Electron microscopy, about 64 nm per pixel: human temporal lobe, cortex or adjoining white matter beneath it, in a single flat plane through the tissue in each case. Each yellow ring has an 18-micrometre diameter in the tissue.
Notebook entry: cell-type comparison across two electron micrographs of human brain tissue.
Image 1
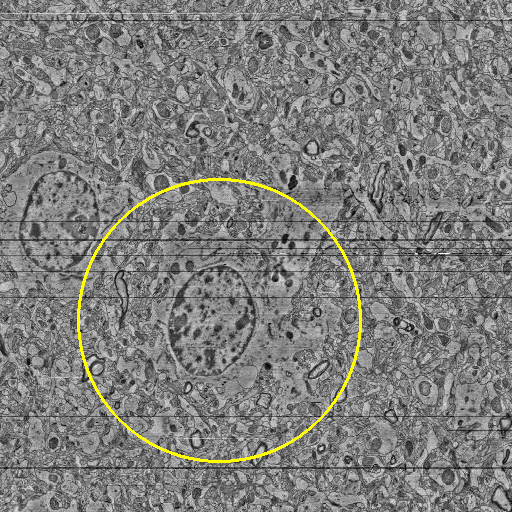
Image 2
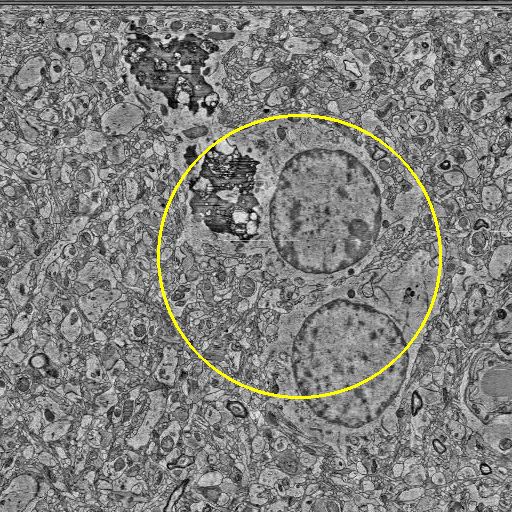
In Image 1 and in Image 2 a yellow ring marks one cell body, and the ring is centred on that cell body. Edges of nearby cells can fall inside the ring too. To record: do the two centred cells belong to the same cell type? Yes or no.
yes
